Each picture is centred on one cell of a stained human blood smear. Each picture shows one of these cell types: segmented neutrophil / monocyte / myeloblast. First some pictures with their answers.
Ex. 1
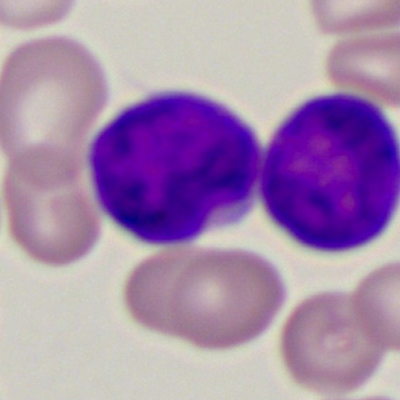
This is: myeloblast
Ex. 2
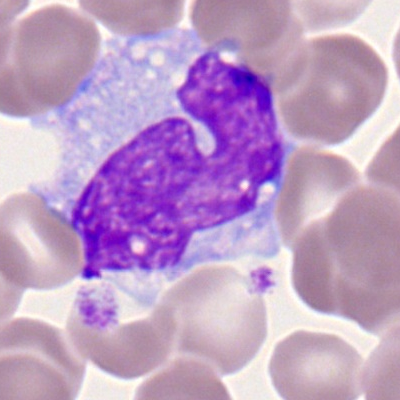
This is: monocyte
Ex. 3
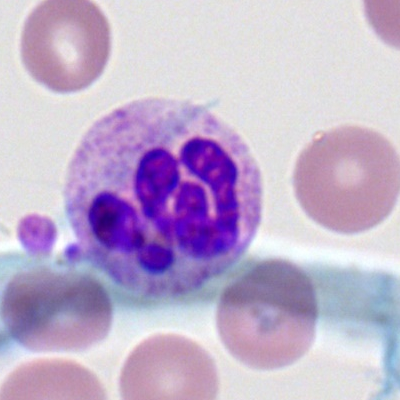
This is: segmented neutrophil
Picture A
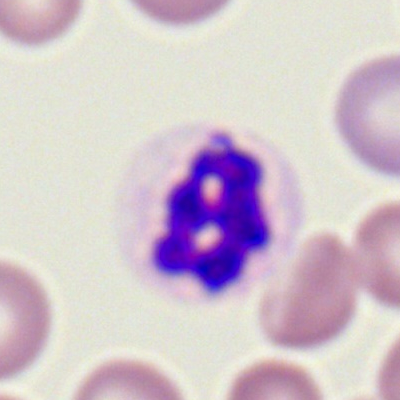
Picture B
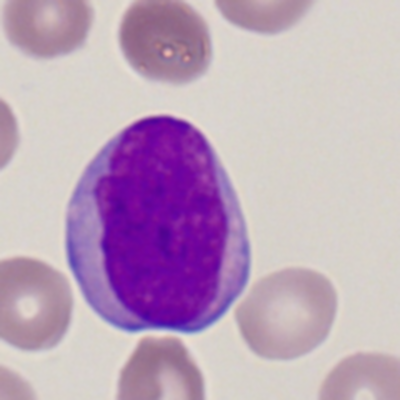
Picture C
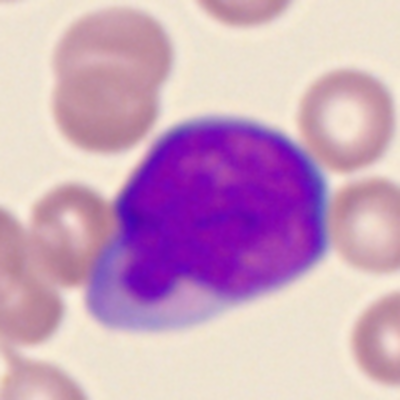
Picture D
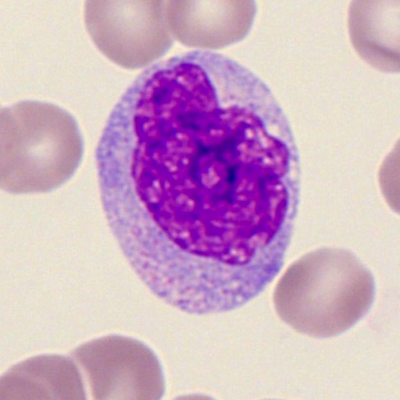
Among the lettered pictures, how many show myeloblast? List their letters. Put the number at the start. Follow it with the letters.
Count: 2 (B, C)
